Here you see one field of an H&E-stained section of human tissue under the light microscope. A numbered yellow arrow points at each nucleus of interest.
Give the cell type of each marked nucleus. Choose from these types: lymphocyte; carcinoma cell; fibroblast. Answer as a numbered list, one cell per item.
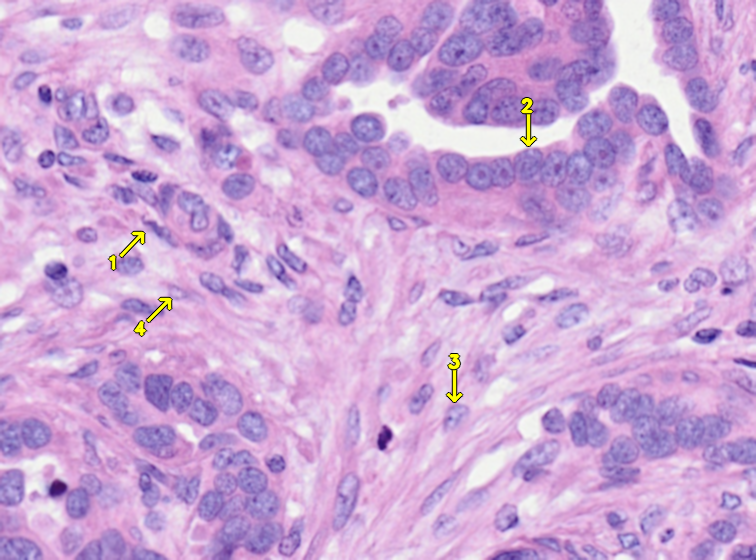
1. fibroblast
2. carcinoma cell
3. fibroblast
4. fibroblast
